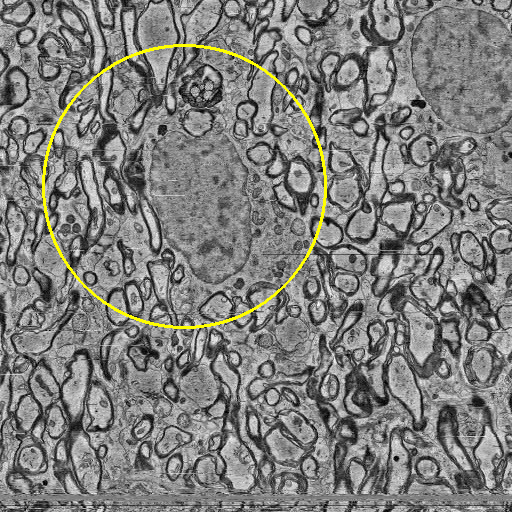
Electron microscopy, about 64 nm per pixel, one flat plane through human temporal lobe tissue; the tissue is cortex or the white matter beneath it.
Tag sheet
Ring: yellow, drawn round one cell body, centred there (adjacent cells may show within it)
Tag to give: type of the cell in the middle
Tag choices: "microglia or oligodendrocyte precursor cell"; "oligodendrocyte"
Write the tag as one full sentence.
I tag the cell centred in the yellow ring as an oligodendrocyte in this picture.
